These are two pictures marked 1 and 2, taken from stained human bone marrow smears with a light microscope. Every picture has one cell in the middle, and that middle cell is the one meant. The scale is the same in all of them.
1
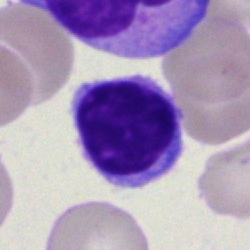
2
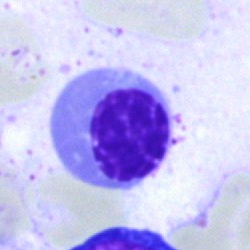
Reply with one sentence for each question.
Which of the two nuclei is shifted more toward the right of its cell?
The nucleus in crop 2 lies further toward the right of its cell.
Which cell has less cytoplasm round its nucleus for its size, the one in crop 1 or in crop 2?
The nucleus fills more of the cell in crop 1 than in crop 2.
